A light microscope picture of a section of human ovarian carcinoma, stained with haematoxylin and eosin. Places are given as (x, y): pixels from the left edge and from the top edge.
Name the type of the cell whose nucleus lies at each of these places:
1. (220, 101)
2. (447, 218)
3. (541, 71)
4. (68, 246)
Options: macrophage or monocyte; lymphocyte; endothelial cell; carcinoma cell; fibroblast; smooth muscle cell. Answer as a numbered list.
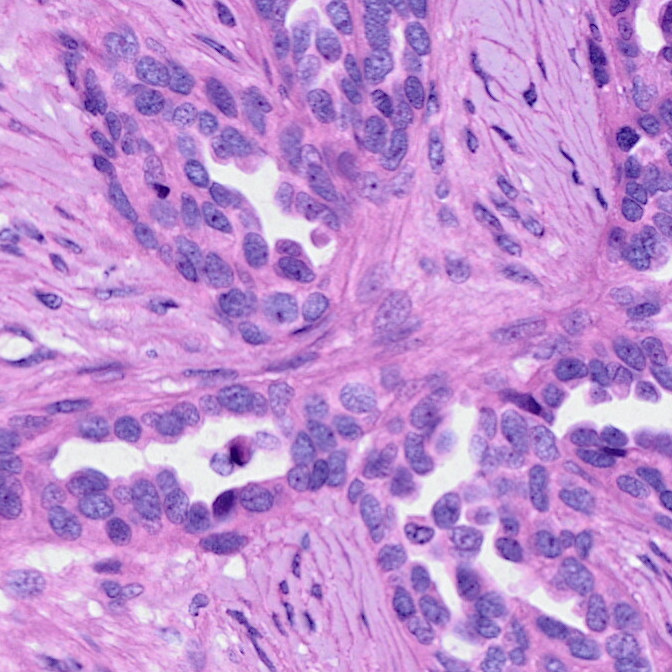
1. carcinoma cell
2. fibroblast
3. fibroblast
4. fibroblast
